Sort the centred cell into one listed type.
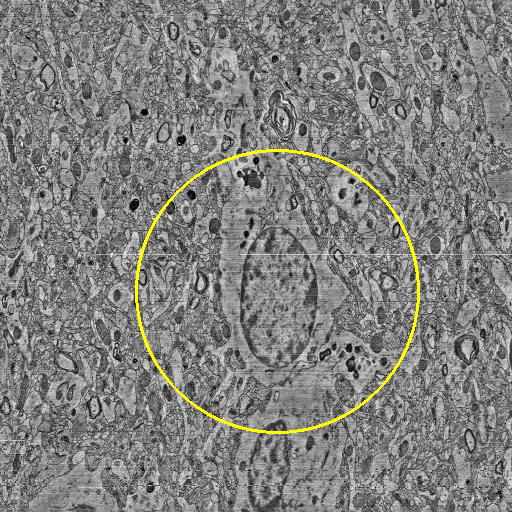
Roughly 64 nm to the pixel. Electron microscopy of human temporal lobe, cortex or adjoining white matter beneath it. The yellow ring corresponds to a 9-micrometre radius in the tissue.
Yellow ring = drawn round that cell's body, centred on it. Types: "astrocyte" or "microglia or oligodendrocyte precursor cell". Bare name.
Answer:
astrocyte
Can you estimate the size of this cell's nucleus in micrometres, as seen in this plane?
Roughly 9 micrometres long and 5 micrometres wide; in this plane the nucleus is clearly longer than it is wide.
